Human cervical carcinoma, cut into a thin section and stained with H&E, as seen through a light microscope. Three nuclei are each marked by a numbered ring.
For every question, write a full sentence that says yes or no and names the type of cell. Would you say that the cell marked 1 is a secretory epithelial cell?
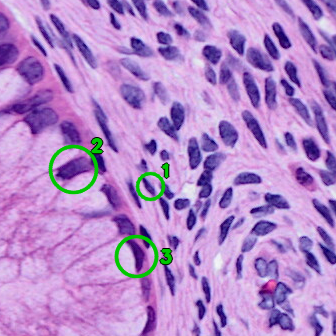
No, the cell given number 1 is a fibroblast, as opposed to a secretory epithelial cell.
